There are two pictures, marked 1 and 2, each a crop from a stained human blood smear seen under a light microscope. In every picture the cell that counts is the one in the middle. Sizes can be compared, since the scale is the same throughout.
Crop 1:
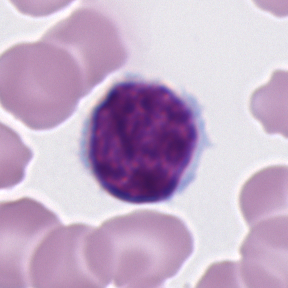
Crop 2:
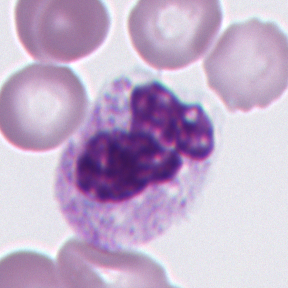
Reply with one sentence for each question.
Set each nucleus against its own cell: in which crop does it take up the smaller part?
In crop 2 the nucleus takes up the smaller part of its cell.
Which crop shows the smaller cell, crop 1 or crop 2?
Crop 1 holds the smaller cell, since the cell in crop 2 covers about 1.5 times as much area.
